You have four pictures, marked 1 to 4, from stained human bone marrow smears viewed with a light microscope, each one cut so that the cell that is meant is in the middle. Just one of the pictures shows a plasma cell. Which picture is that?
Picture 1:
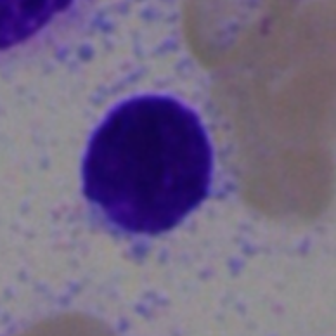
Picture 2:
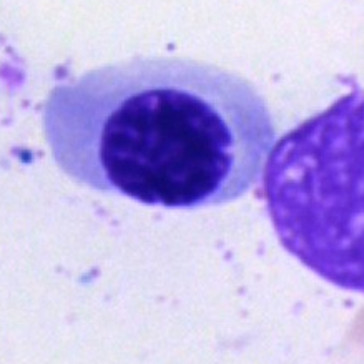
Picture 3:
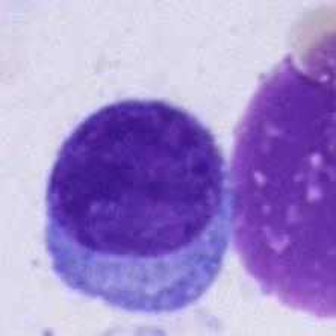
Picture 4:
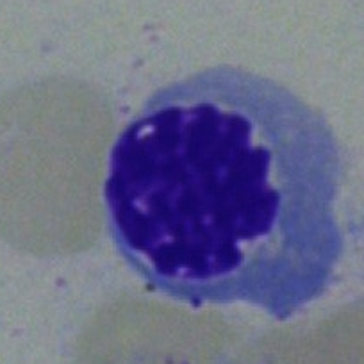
3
